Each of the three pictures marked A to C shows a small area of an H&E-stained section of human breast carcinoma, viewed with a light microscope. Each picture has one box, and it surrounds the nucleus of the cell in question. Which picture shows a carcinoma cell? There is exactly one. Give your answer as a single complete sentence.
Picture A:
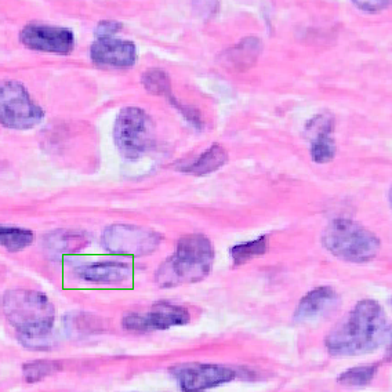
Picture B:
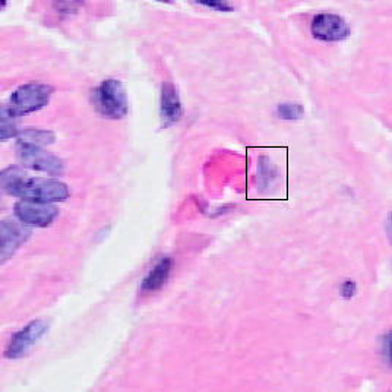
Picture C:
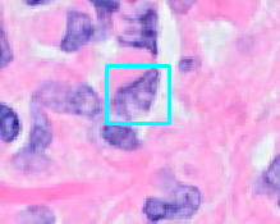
Picture C shows the carcinoma cell.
